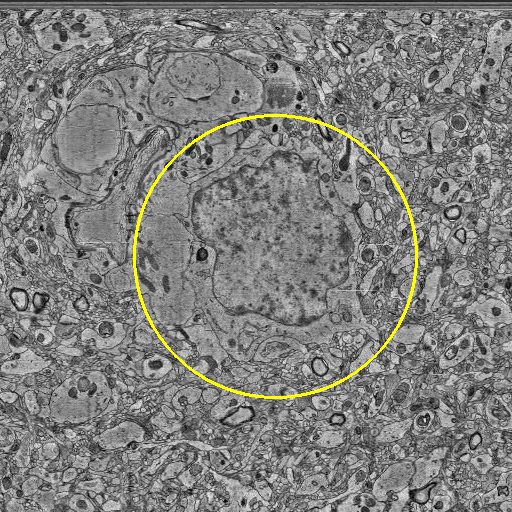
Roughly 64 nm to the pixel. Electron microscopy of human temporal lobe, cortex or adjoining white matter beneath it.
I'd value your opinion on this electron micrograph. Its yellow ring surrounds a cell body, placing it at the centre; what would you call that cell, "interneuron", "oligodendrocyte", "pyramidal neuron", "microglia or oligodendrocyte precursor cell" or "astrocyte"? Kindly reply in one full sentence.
It is an interneuron that sits centred within the yellow ring in this micrograph.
